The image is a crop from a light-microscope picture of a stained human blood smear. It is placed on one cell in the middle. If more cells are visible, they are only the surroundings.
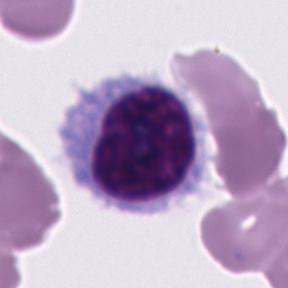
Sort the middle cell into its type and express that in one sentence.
Here the centrally located cell is a hairy cell.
